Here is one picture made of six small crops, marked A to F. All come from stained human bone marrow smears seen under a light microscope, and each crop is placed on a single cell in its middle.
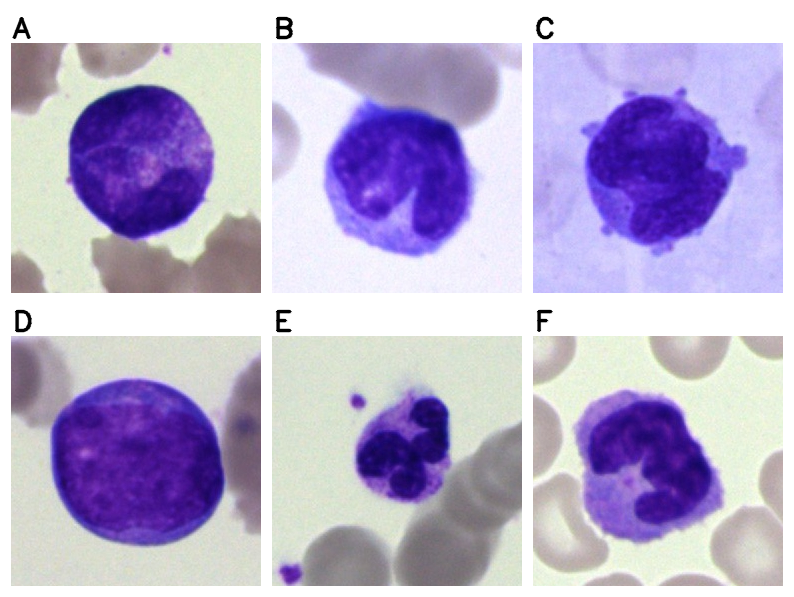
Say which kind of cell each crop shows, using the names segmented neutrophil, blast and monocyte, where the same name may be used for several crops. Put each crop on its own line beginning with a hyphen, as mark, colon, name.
- A: blast
- B: monocyte
- C: monocyte
- D: blast
- E: segmented neutrophil
- F: monocyte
